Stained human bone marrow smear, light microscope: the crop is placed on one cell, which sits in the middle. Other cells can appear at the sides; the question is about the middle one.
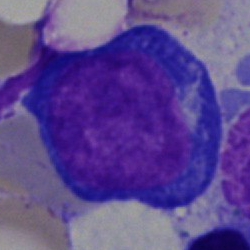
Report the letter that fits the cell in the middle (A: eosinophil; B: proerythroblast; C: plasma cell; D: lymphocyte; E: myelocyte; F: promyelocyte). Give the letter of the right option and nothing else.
B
